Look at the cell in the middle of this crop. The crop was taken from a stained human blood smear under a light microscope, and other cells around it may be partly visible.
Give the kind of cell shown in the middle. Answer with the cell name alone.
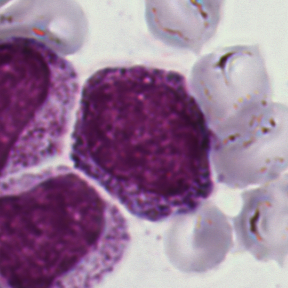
myelocyte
